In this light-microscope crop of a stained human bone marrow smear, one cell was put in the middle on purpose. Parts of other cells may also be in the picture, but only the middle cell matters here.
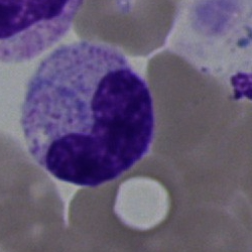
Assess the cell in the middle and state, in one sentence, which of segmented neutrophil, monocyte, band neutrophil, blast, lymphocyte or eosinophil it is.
The middle of this crop is occupied by a band neutrophil.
